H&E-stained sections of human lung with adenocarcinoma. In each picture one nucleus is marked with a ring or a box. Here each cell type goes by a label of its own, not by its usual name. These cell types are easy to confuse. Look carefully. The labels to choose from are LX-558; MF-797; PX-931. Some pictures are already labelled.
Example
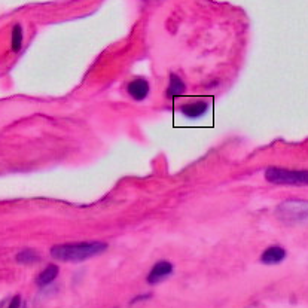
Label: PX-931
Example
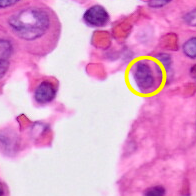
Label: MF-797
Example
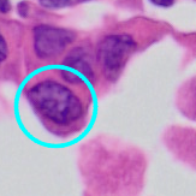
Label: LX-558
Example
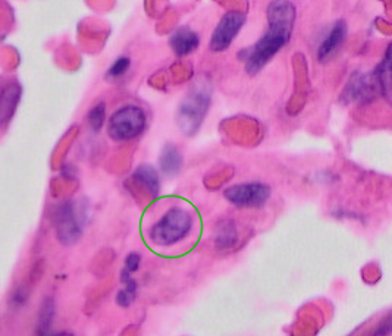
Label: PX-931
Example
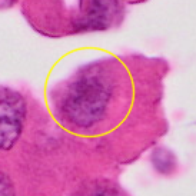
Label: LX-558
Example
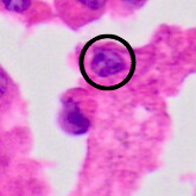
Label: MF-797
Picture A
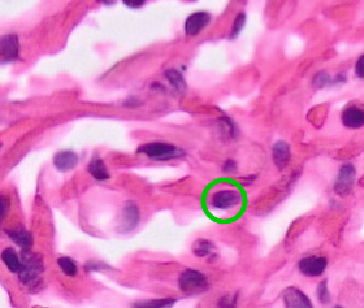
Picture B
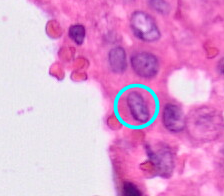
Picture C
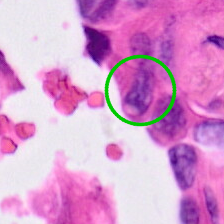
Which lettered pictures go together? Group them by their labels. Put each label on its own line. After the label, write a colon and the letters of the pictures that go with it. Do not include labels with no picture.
LX-558: C
MF-797: B
PX-931: A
